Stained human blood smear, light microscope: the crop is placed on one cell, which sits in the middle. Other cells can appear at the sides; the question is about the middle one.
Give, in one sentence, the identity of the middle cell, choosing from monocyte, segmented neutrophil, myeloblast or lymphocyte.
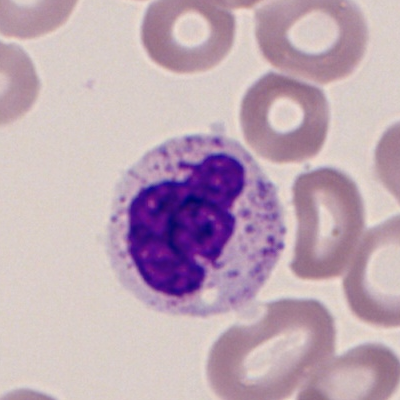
What sits at the centre of this crop is a segmented neutrophil.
